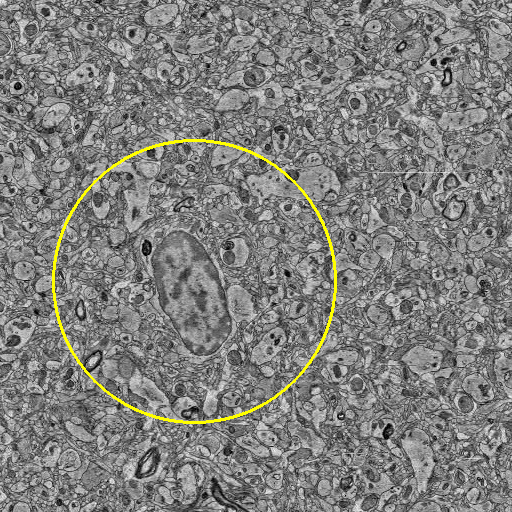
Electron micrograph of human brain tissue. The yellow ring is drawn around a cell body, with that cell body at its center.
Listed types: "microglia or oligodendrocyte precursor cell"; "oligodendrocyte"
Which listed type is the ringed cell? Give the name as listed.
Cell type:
microglia or oligodendrocyte precursor cell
